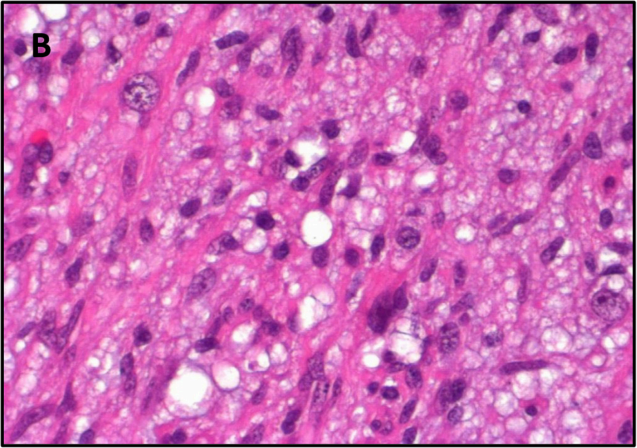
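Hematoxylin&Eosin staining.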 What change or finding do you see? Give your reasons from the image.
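Nuclei vary widely in size and shape, from slender oval to large irregular ones. Some nuclei are large and darkly stained. Cytoplasm varies from pink fibrillary to pale and vacuolated. So: marked cellular pleomorphism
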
